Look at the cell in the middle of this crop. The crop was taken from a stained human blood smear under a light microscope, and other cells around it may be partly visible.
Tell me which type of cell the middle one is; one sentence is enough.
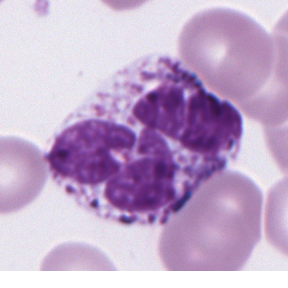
The central cell in this smear crop is a basophil.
